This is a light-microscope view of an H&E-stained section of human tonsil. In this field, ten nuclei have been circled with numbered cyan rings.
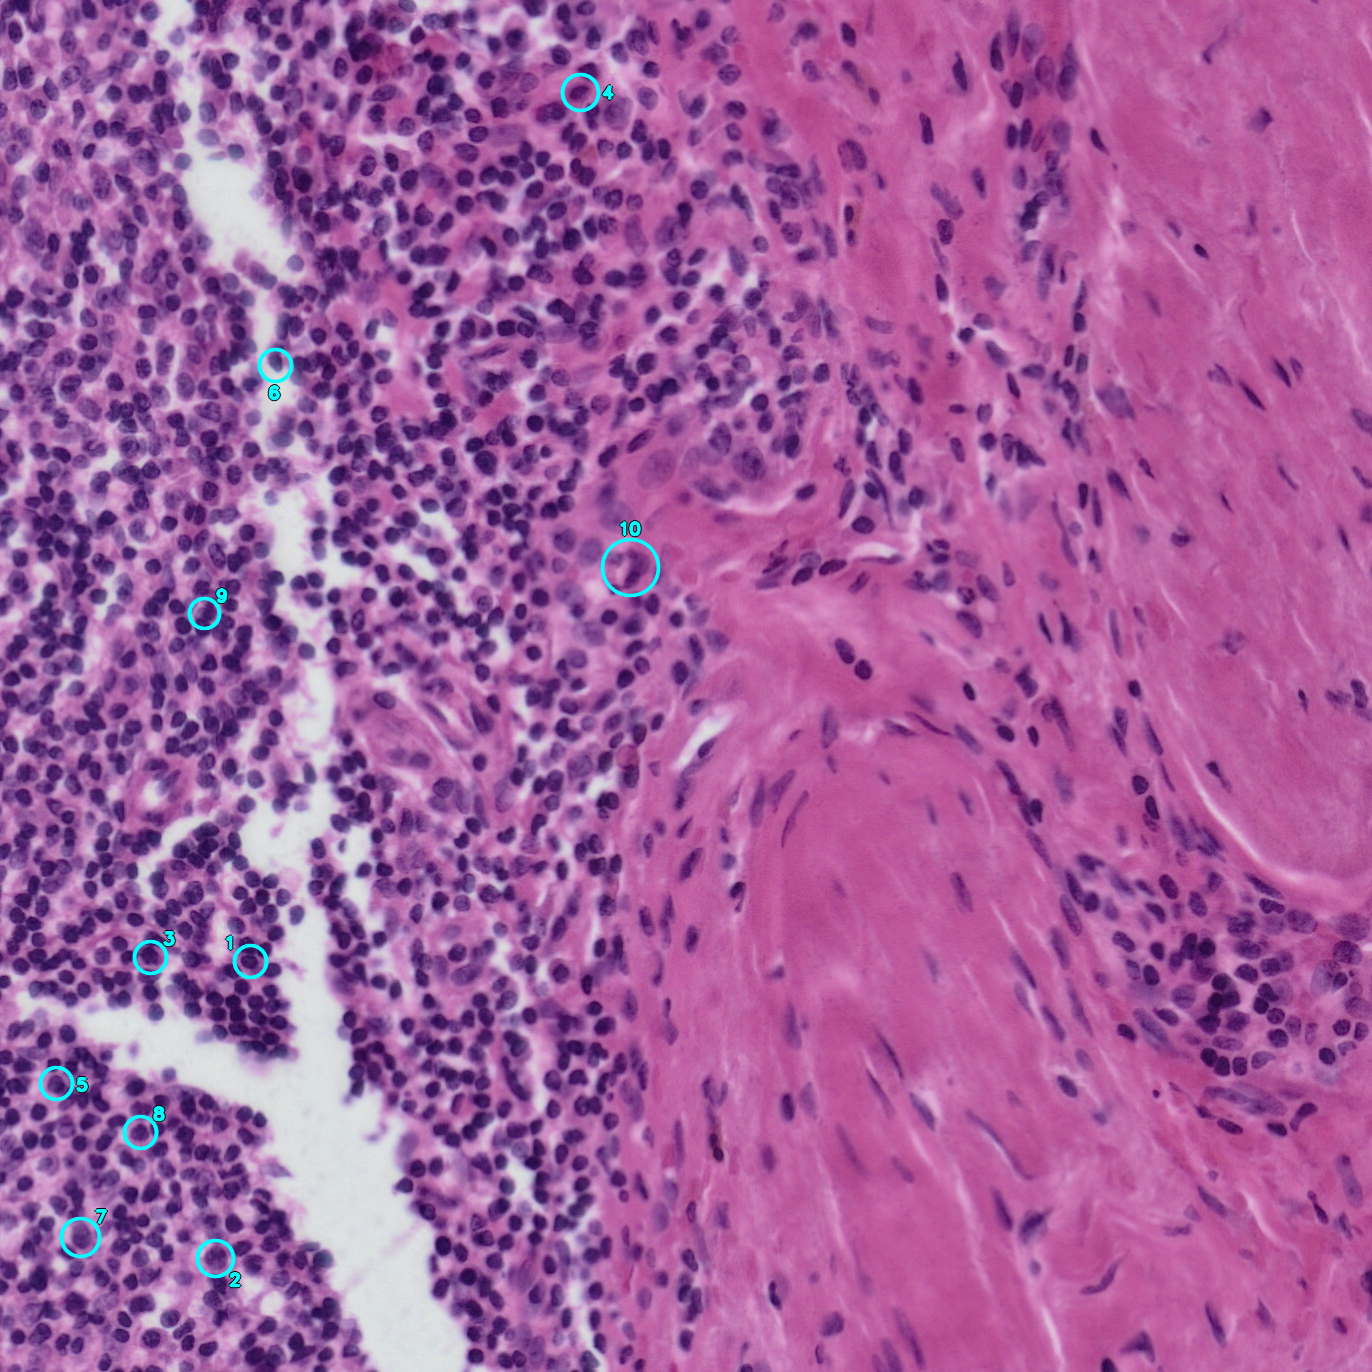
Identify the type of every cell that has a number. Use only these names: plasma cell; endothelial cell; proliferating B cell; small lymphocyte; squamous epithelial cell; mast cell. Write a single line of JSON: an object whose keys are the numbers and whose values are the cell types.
{"1": "small lymphocyte", "2": "proliferating B cell", "3": "small lymphocyte", "4": "endothelial cell", "5": "small lymphocyte", "6": "small lymphocyte", "7": "proliferating B cell", "8": "small lymphocyte", "9": "small lymphocyte", "10": "endothelial cell"}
